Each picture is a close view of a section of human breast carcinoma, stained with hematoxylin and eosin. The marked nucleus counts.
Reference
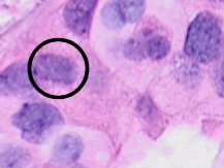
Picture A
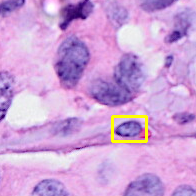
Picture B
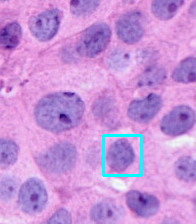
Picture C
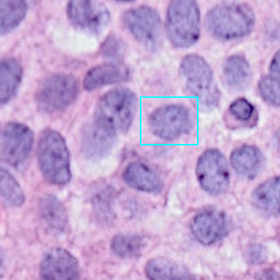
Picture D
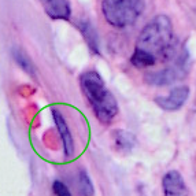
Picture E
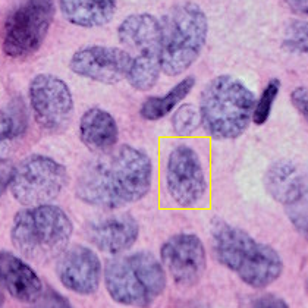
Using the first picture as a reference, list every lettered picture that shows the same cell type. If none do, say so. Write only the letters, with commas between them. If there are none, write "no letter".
B, C, E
